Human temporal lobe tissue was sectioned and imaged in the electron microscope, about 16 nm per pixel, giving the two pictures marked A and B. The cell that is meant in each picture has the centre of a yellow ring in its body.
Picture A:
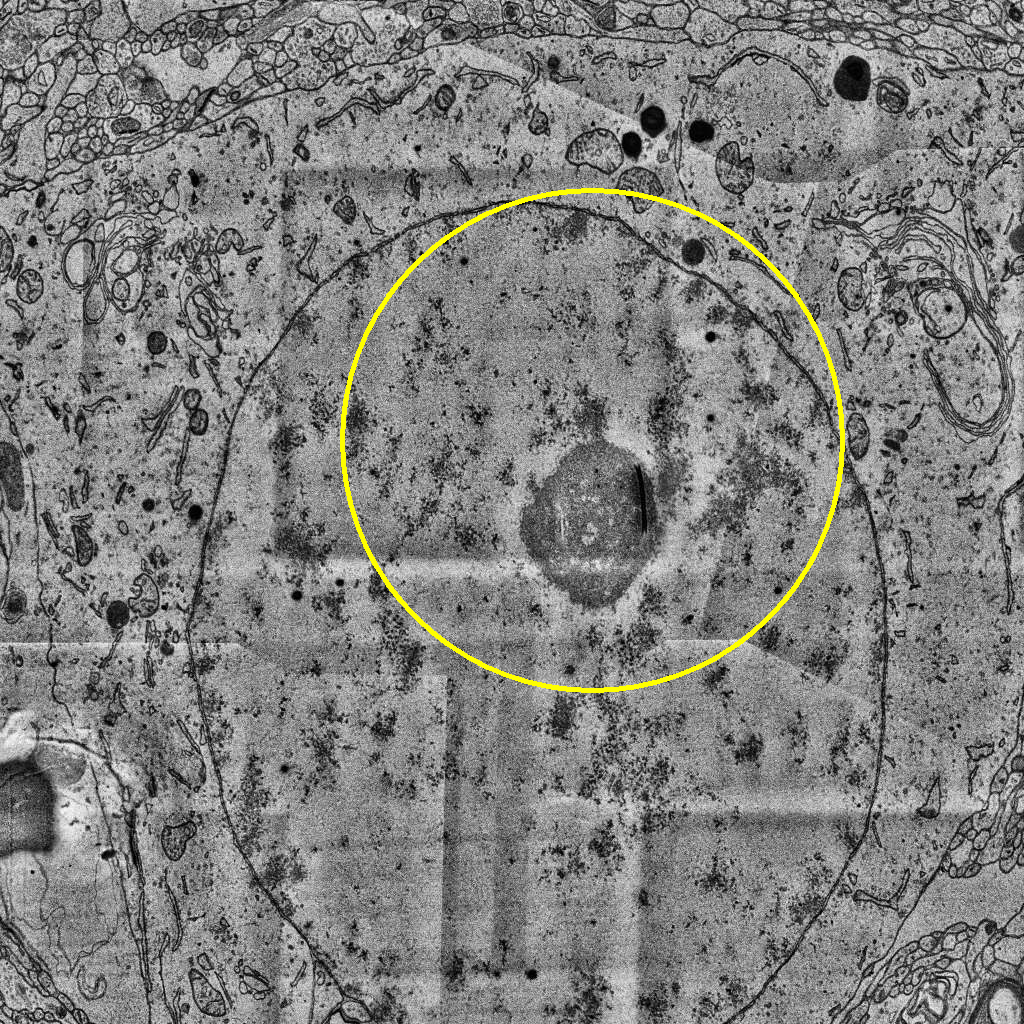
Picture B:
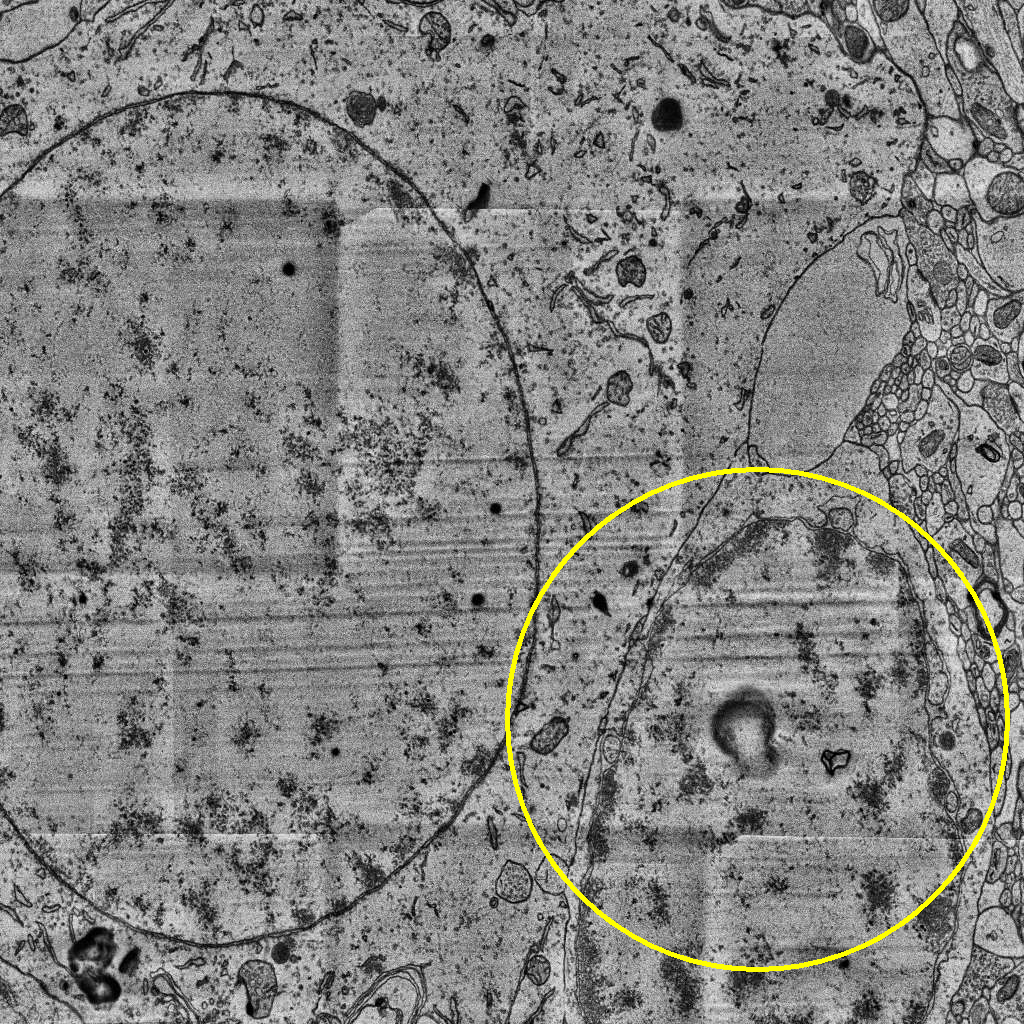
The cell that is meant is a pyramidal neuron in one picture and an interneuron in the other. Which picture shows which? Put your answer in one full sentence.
It is picture A that shows a pyramidal neuron, and picture B that shows an interneuron.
